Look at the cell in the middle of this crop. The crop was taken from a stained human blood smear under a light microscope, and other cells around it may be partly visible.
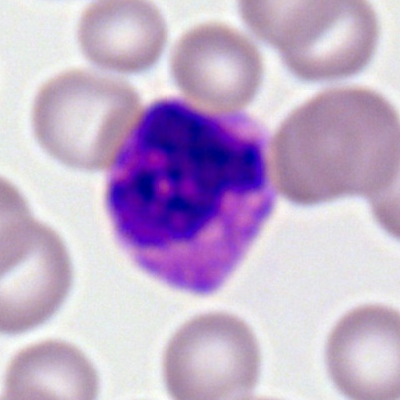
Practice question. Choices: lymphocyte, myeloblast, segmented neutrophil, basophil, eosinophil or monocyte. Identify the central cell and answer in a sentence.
At the middle of the frame sits a basophil.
